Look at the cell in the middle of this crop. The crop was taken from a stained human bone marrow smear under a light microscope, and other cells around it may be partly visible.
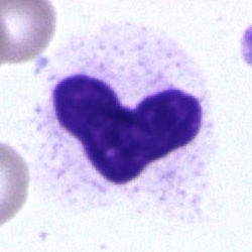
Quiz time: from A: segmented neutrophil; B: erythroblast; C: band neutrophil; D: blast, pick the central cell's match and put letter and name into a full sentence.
Option C is correct in naming the middle cell a band neutrophil.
